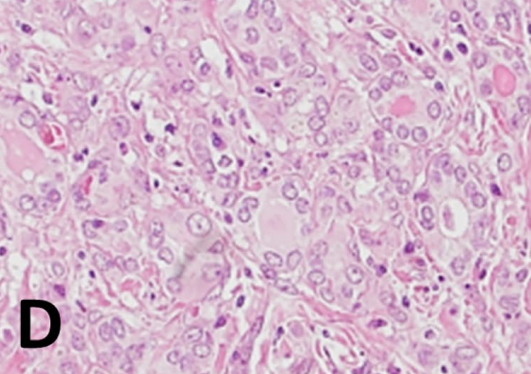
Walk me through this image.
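Thyroid follicles entrapped in fibrous tissue, formed by follicular epithelial cells with enlarged nuclei and chromatin clearing. The epithelial cells have abundant pink cytoplasm and large oval nuclei, many of which appear pale with fine, cleared chromatin and thin nuclear outlines. The cells lie in small groups and tiny follicles, some containing round pink colloid droplets. Between the groups run strands of pink fibrous stroma with scattered small, dark, elongated stromal nuclei and a few inflammatory cells.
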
